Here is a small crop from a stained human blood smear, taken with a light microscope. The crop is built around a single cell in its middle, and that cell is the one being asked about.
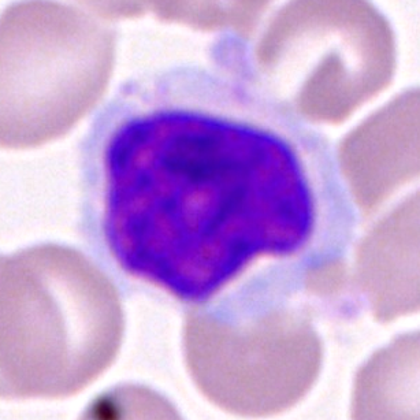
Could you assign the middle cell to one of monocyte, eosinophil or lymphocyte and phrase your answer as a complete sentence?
Present in the middle of the crop is a lymphocyte.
